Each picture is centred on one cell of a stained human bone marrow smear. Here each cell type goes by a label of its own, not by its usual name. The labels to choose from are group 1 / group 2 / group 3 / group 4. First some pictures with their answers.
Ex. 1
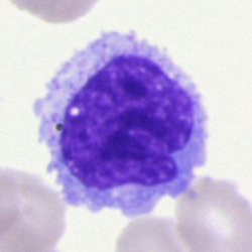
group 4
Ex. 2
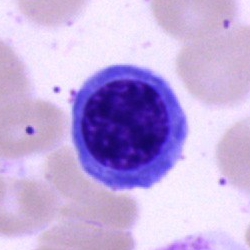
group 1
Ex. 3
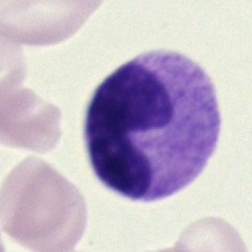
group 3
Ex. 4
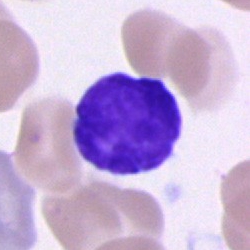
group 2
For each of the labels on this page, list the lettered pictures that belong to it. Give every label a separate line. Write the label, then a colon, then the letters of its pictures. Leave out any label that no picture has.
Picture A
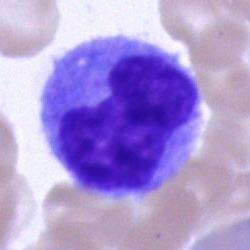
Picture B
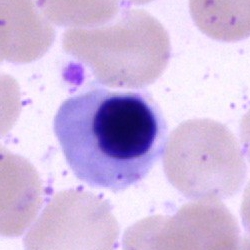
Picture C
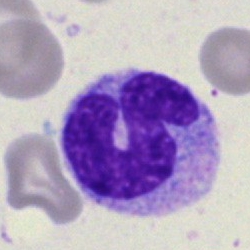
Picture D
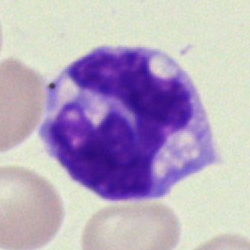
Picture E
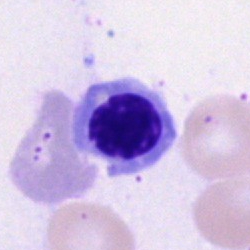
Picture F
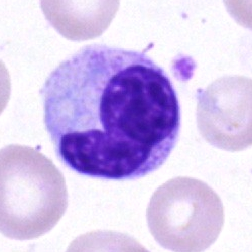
group 1: B, E
group 3: F
group 4: A, C, D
